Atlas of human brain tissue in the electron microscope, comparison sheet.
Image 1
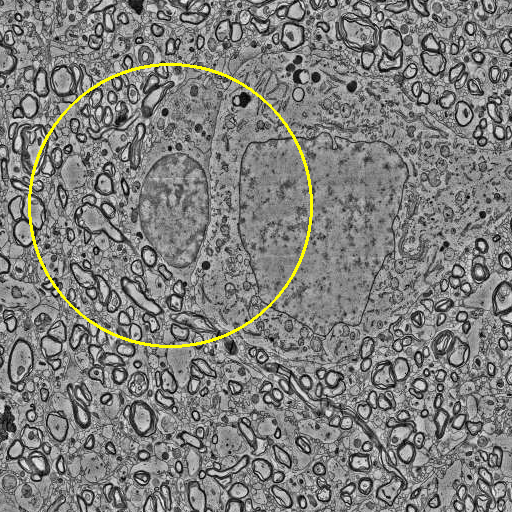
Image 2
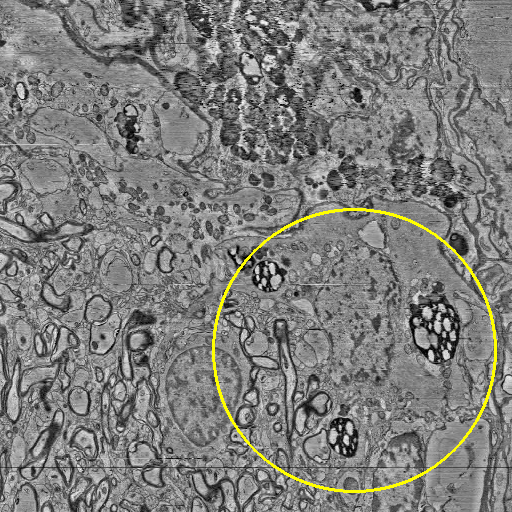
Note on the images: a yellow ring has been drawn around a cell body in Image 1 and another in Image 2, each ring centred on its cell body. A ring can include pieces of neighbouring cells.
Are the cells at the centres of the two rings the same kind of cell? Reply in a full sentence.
No, the two cells are of two kinds.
